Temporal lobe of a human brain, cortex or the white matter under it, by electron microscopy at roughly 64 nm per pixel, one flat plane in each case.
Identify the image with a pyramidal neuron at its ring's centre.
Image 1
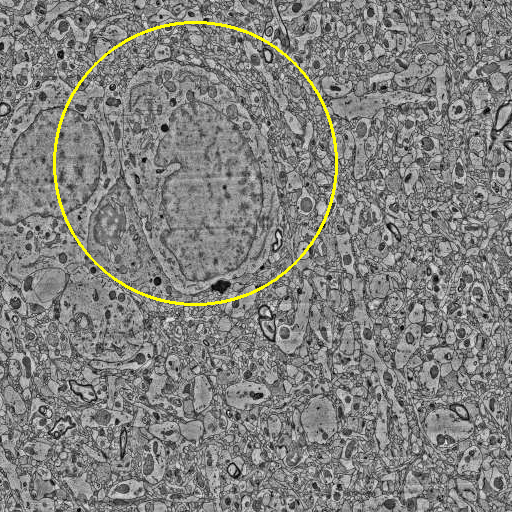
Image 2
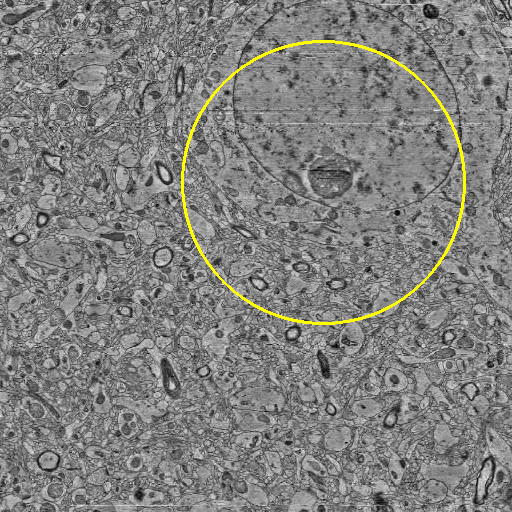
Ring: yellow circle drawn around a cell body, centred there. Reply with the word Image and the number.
Image 2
